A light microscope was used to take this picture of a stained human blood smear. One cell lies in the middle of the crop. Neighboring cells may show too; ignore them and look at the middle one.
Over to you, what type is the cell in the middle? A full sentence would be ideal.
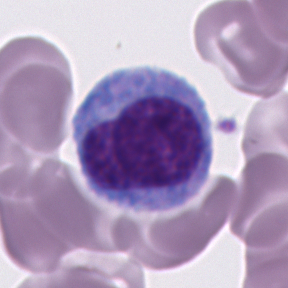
As for the cell in the middle, it is a monocyte.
